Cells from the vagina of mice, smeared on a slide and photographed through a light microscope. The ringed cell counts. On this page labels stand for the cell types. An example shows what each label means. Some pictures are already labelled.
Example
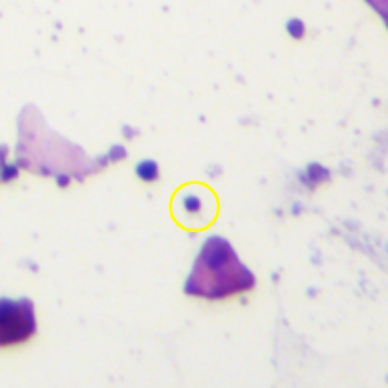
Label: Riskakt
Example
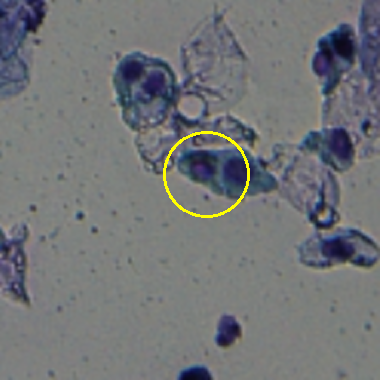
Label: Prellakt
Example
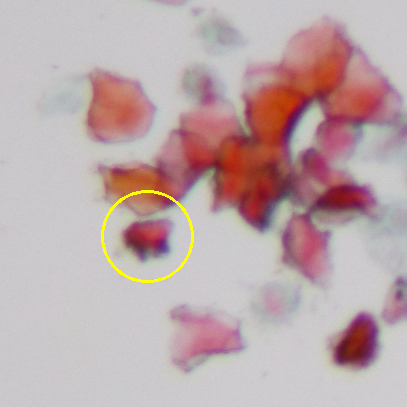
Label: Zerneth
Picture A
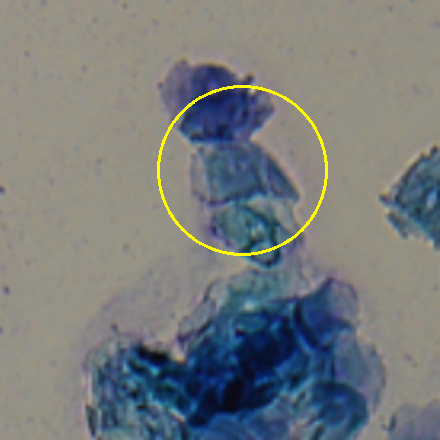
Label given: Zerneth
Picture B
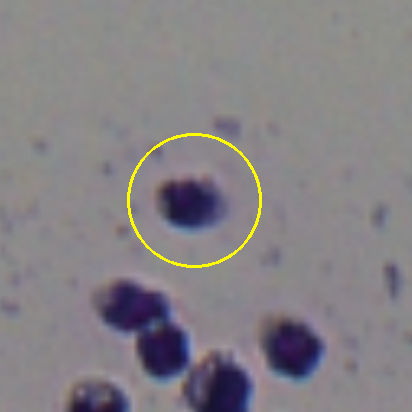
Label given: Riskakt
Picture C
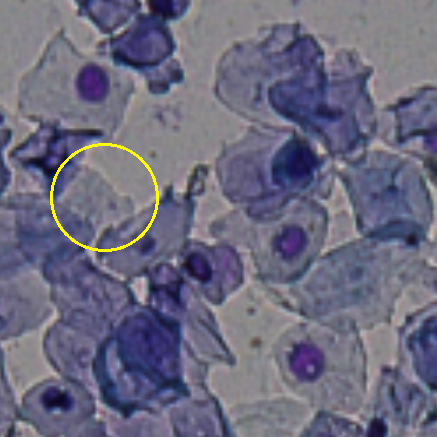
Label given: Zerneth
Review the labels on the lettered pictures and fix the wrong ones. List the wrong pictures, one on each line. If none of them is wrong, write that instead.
All labels are correct.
